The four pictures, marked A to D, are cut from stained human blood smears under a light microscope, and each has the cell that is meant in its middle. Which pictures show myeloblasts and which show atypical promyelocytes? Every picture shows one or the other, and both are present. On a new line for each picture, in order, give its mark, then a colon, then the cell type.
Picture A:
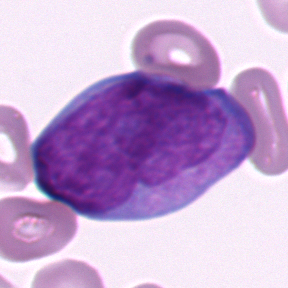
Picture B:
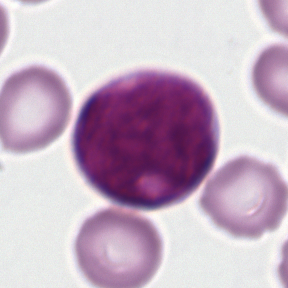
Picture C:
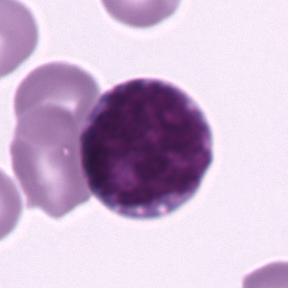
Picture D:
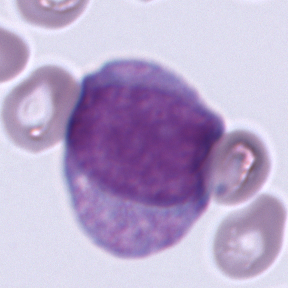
A: atypical promyelocyte
B: myeloblast
C: myeloblast
D: atypical promyelocyte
